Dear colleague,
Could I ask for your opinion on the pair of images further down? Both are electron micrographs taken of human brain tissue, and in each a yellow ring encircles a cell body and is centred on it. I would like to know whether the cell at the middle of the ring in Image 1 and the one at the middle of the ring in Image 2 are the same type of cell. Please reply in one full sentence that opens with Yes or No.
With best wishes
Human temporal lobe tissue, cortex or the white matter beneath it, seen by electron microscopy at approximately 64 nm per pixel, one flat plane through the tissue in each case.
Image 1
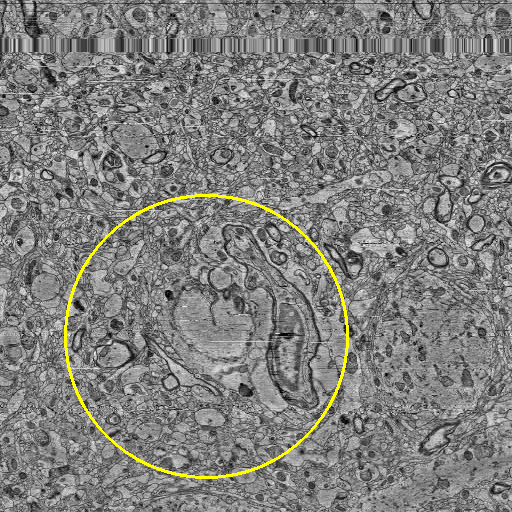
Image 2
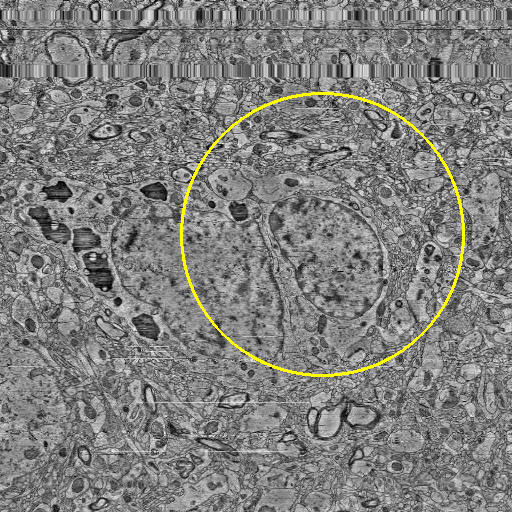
Yes, the cells at the ring centres in Image 1 and Image 2 are of one type.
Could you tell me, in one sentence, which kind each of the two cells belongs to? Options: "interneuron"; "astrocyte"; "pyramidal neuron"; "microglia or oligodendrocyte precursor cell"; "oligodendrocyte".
In each of the two pictures, the ringed cell is a microglial cell or oligodendrocyte precursor cell.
